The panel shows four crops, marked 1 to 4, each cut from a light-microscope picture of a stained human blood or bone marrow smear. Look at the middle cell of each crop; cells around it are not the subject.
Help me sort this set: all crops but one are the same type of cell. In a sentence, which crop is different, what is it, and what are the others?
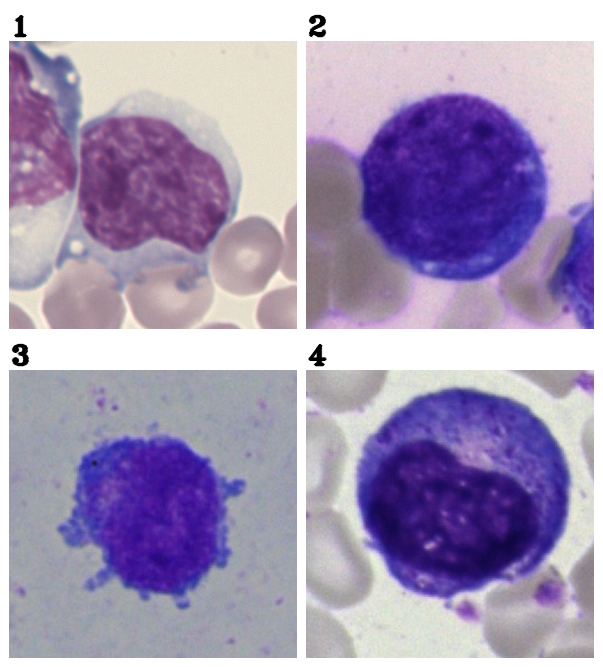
The different crop is 4; it is a promyelocyte, and the others all show blasts.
